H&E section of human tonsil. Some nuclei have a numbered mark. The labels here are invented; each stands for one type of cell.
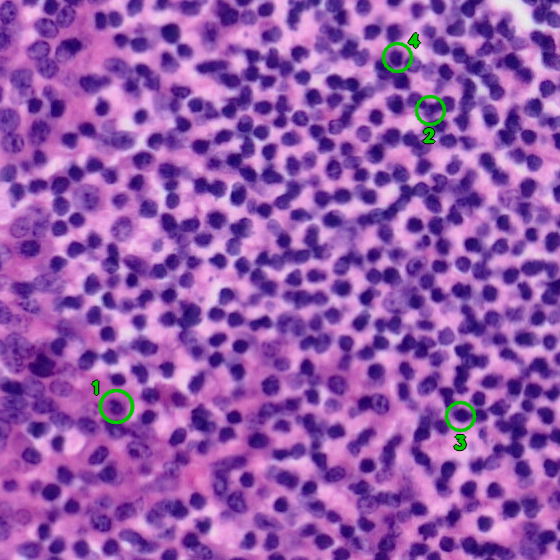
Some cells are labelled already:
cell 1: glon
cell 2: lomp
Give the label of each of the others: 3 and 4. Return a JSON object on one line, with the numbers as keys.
{"3": "lomp", "4": "lomp"}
